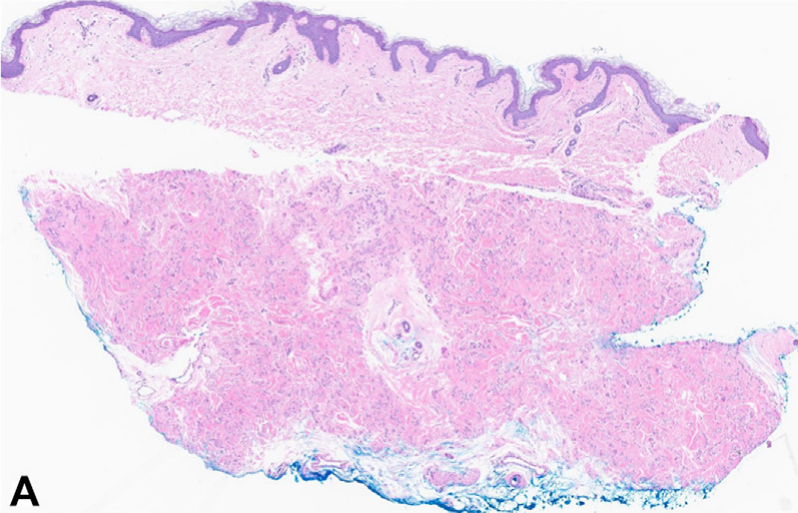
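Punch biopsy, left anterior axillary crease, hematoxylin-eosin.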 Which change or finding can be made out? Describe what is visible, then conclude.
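The deep dermis has a purplish, finely granular texture unlike the paler upper dermis. The change fills the lower part of the dermis below an intact epidermis. The answer: short and fragmented elastic fibers.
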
